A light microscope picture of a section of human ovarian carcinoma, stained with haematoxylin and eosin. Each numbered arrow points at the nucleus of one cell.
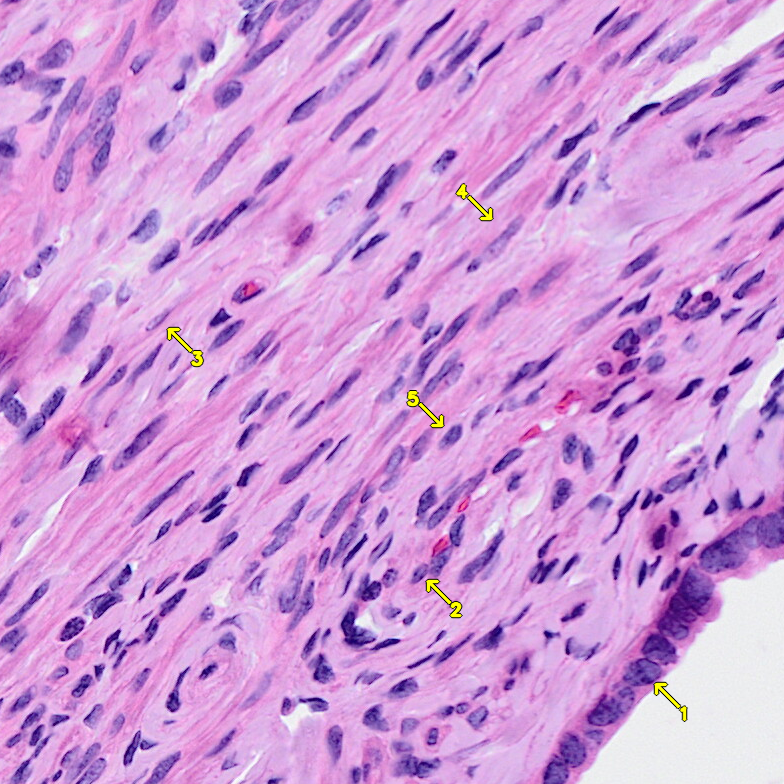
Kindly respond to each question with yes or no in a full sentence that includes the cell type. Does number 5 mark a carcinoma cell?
No, cell 5 counts as a smooth muscle cell rather than as a carcinoma cell.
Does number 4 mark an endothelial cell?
No, the cell labelled 4 is a smooth muscle cell and not an endothelial cell.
